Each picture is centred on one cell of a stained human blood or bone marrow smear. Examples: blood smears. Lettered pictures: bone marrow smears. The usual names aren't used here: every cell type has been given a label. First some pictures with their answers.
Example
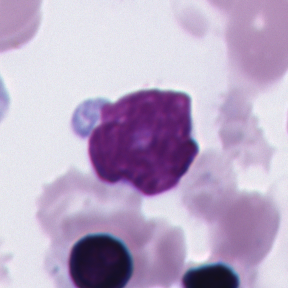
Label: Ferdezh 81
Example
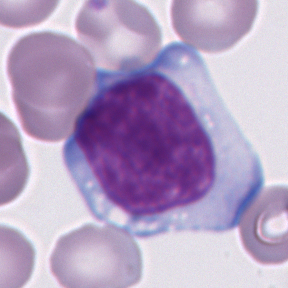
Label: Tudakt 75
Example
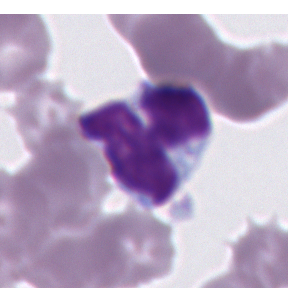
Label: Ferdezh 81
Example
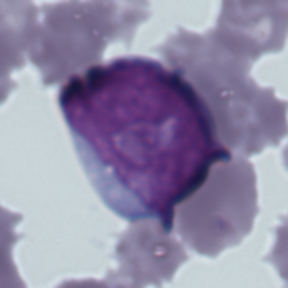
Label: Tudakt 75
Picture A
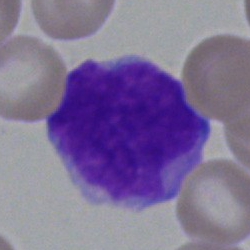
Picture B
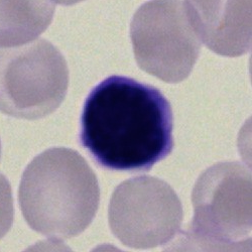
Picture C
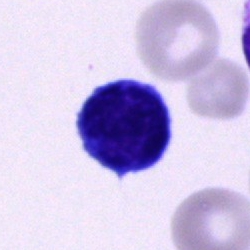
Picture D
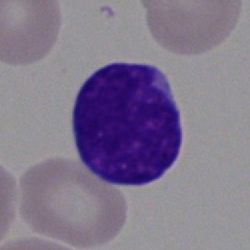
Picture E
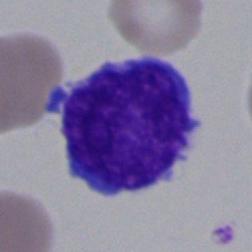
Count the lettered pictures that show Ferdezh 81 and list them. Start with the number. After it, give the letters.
2, namely B, C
